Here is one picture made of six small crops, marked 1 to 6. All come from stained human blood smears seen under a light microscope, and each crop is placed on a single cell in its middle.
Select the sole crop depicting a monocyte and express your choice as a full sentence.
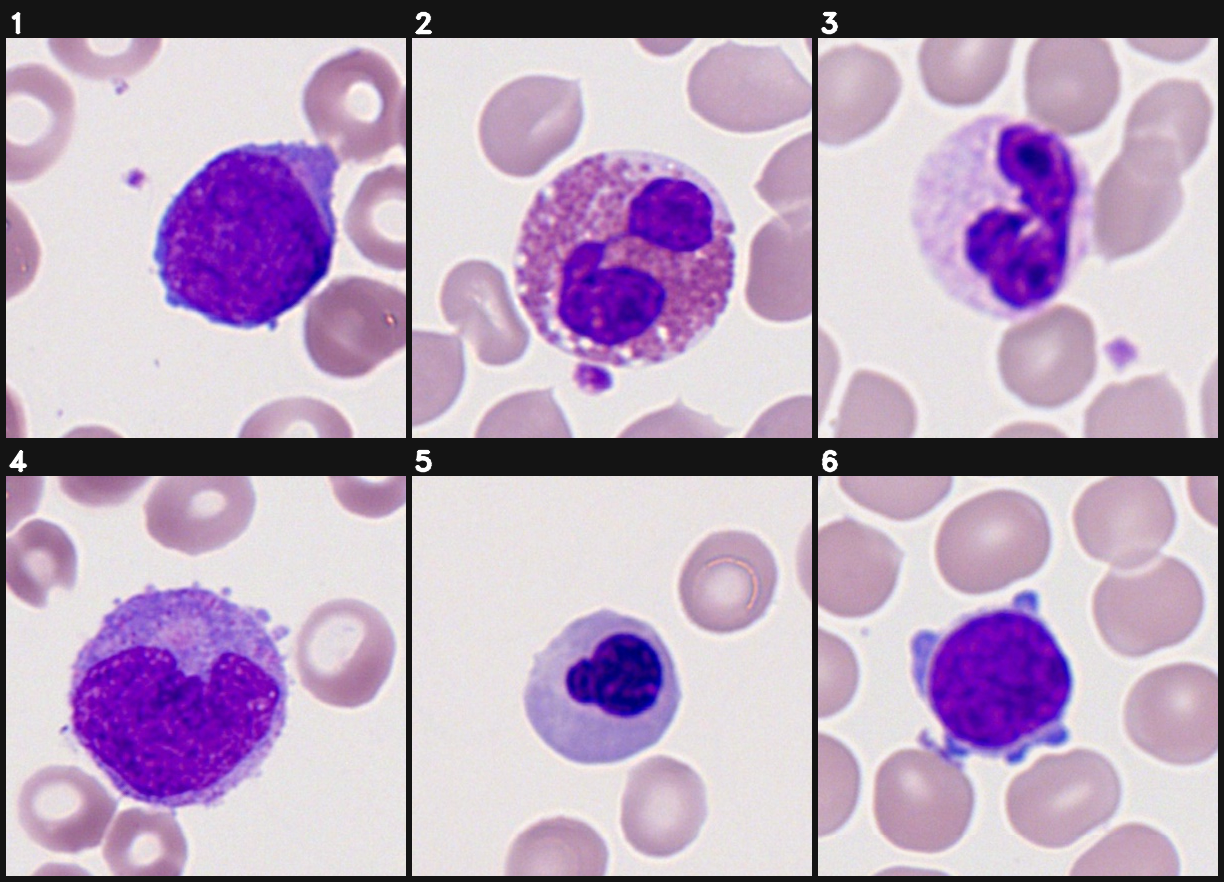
In this series, a monocyte is shown by crop 4.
